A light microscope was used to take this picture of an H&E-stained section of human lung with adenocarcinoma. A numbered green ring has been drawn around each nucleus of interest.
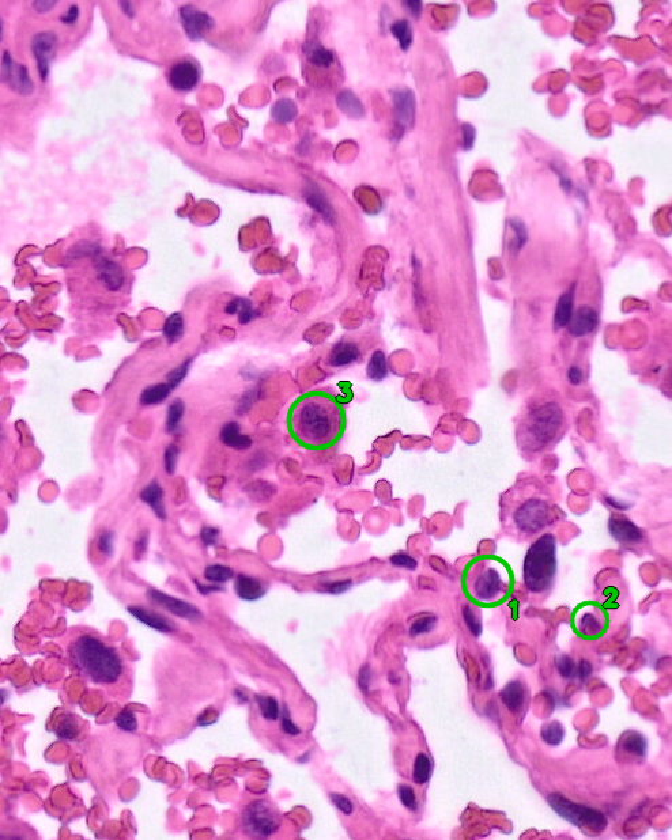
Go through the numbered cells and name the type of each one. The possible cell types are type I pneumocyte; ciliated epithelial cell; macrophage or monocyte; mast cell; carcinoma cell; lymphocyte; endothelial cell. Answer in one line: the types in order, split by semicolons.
type I pneumocyte; type I pneumocyte; macrophage or monocyte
